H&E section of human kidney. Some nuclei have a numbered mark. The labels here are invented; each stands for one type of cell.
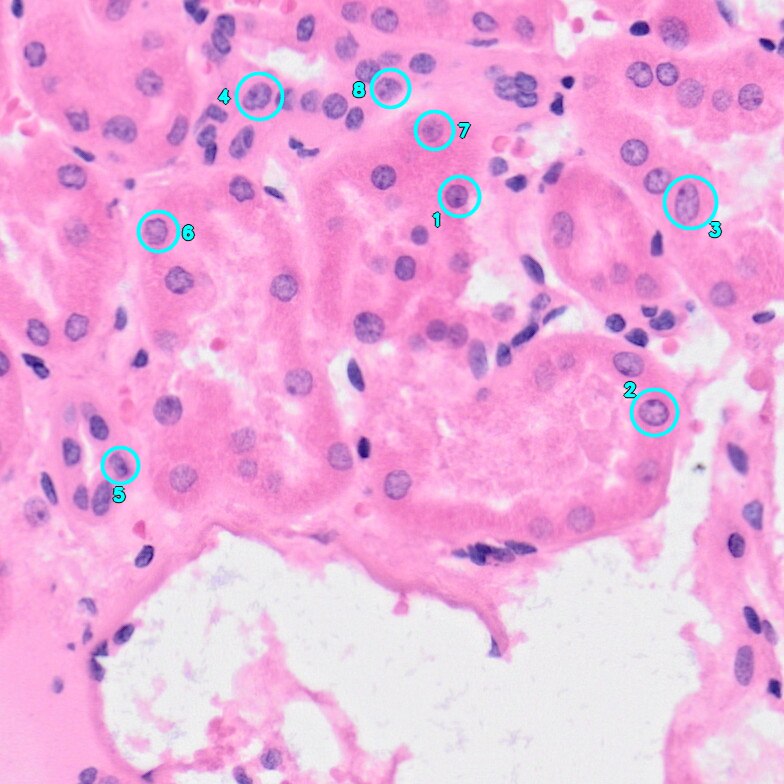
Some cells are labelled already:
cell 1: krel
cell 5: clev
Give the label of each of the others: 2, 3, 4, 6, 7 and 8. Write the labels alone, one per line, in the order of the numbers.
krel
krel
clev
krel
krel
clev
